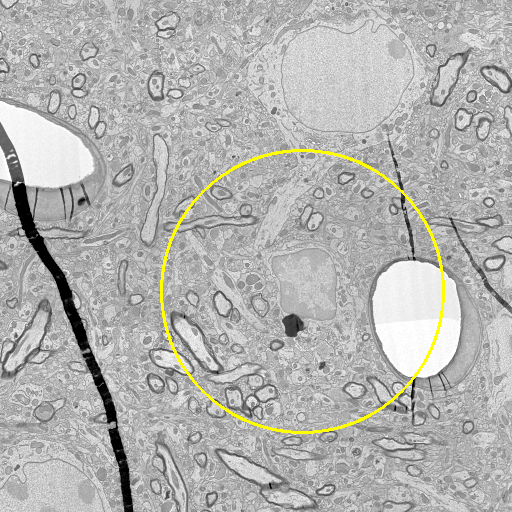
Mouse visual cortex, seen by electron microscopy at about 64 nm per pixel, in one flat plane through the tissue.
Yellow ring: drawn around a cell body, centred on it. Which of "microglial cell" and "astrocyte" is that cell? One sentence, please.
That cell body is from a microglial cell.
